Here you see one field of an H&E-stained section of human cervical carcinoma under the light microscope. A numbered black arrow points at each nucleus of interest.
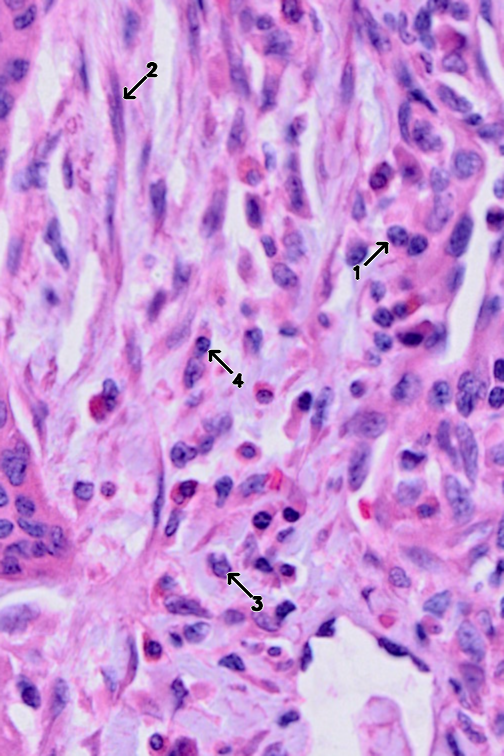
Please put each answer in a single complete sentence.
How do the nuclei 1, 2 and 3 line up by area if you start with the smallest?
The order from the smallest nucleus to the largest is 1, 3, 2.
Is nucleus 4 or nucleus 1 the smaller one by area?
Nucleus 4 covers less area, with nucleus 1 about 1.5 times as large.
